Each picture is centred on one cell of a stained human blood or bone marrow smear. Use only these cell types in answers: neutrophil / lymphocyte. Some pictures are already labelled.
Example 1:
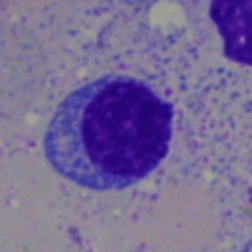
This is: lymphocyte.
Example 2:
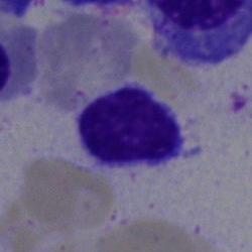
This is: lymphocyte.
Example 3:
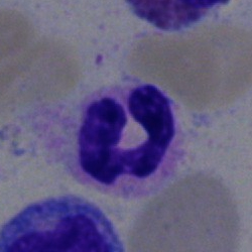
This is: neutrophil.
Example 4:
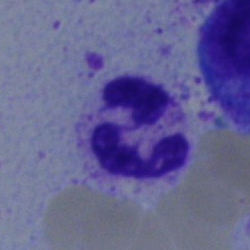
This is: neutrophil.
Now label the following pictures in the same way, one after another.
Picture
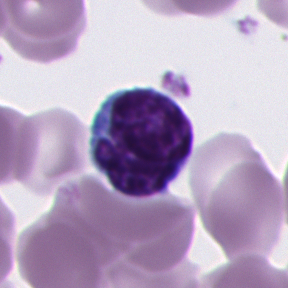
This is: lymphocyte.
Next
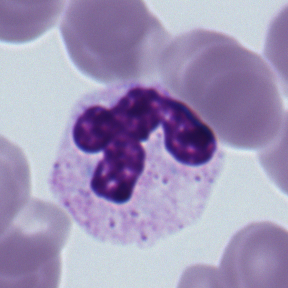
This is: neutrophil.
